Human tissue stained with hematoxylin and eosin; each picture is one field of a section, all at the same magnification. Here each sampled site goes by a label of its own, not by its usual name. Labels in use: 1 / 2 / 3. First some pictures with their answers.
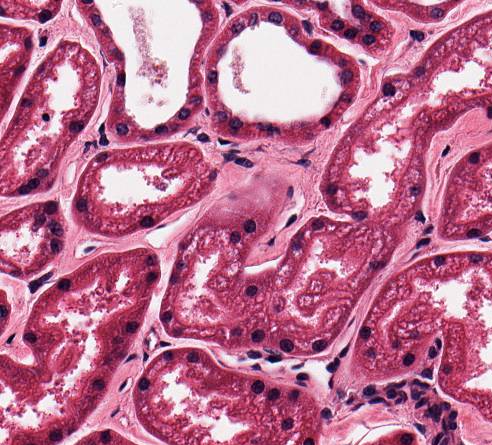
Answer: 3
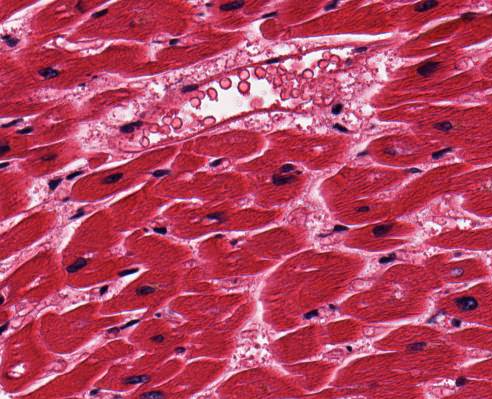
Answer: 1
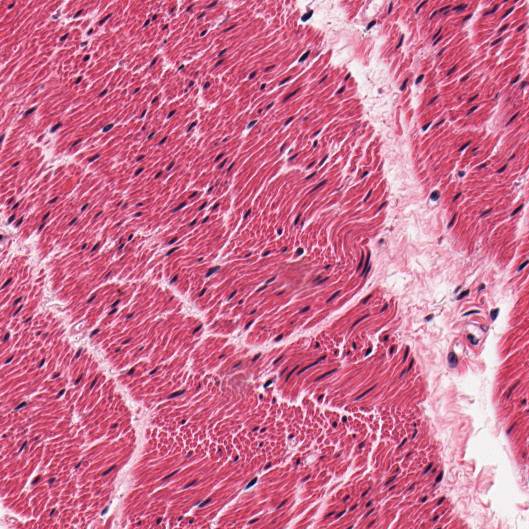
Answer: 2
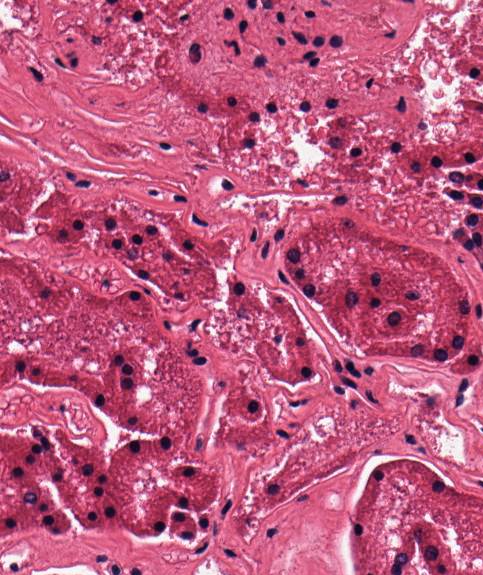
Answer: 3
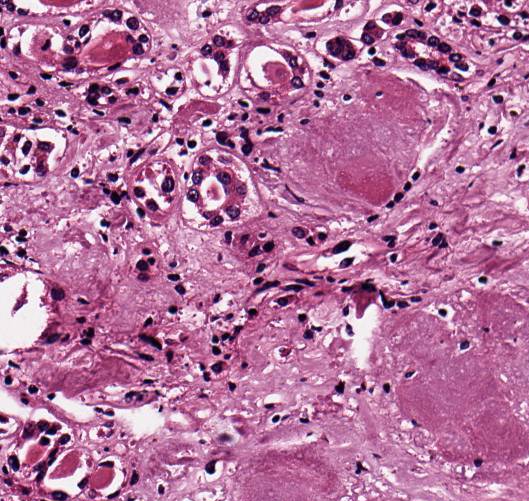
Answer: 3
